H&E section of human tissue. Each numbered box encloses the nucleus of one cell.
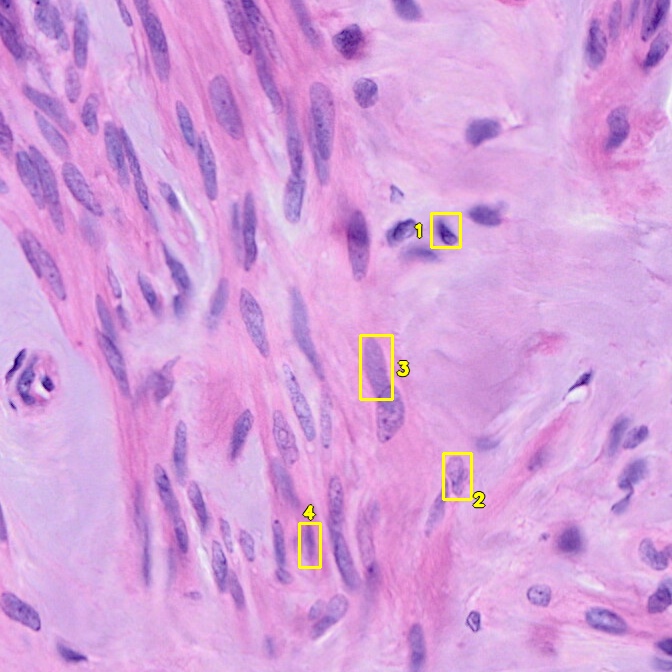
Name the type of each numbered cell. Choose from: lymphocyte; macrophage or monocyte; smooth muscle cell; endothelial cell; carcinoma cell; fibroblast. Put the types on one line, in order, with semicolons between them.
fibroblast; smooth muscle cell; smooth muscle cell; smooth muscle cell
